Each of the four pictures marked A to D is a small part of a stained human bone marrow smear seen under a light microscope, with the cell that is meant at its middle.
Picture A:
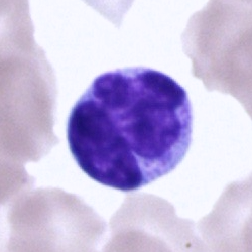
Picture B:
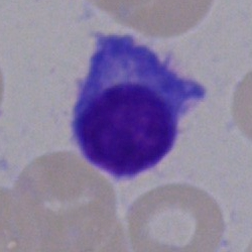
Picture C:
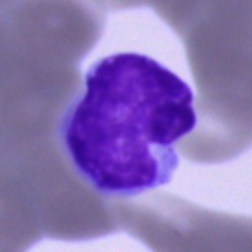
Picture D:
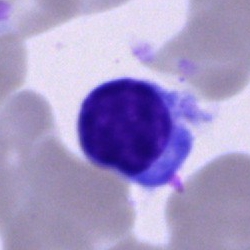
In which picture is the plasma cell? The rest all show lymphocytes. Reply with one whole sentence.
The plasma cell is the one in picture B.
